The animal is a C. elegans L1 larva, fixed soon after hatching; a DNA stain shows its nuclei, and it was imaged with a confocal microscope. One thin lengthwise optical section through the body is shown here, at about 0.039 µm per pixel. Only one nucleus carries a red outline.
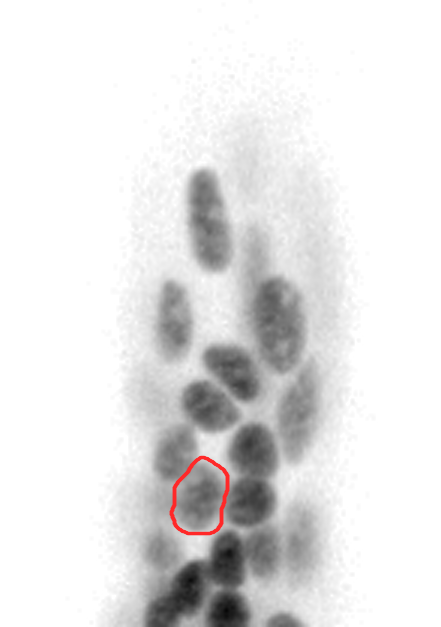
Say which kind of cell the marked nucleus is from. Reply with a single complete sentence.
What is marked is the nucleus of a seam cell.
